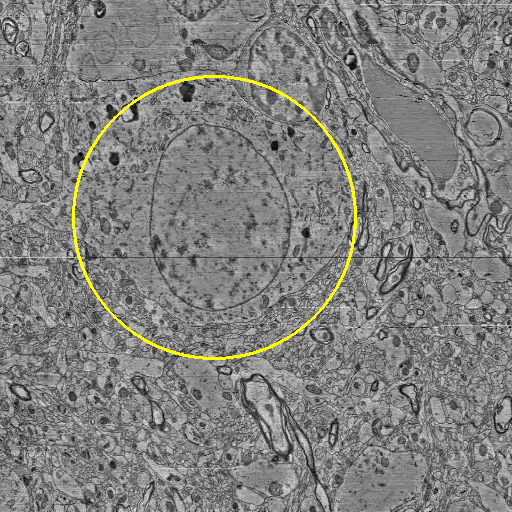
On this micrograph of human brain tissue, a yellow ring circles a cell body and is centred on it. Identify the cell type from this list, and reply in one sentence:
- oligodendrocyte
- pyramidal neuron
The cell at the centre is a pyramidal neuron.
